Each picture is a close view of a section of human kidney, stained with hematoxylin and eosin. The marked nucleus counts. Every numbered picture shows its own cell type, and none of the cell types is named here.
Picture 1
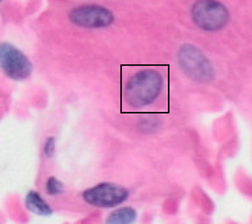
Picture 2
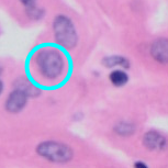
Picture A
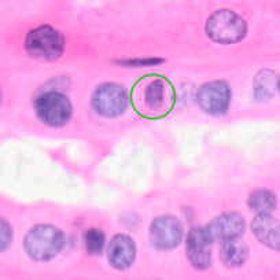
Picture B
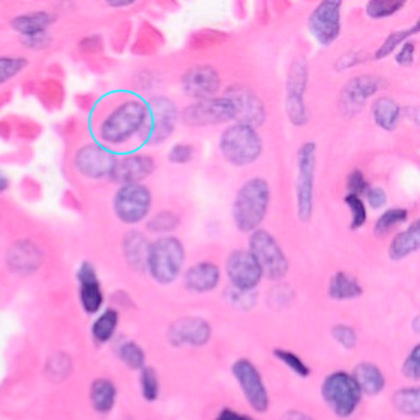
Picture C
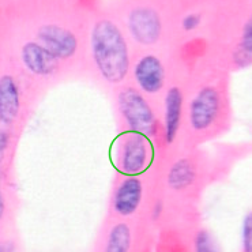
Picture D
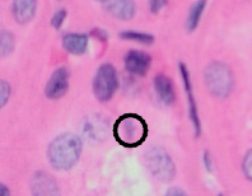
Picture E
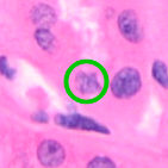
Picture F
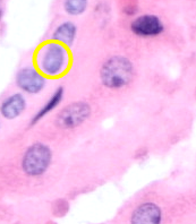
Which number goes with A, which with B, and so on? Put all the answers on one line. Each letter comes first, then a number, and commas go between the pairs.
A 2, B 2, C 2, D 2, E 2, F 2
